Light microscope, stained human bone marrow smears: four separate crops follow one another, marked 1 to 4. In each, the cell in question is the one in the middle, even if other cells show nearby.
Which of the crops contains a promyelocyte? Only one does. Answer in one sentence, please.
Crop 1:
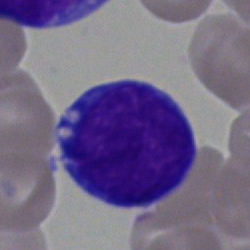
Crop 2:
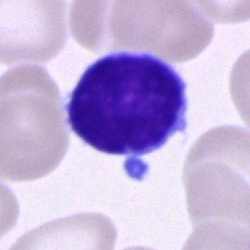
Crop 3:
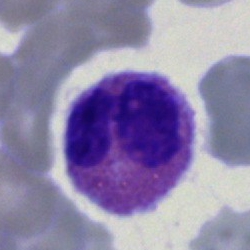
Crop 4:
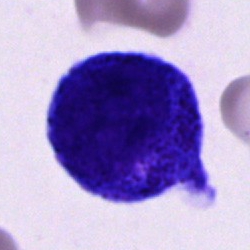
Of the labeled crops, the one with a promyelocyte is crop 4.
